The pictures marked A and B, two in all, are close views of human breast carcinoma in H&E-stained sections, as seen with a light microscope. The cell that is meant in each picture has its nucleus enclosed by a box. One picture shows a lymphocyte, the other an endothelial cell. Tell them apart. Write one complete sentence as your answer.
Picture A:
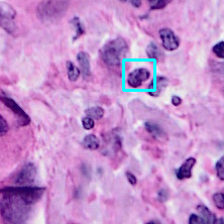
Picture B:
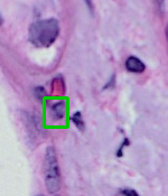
The cell in picture A is a lymphocyte, and the one in picture B is an endothelial cell.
